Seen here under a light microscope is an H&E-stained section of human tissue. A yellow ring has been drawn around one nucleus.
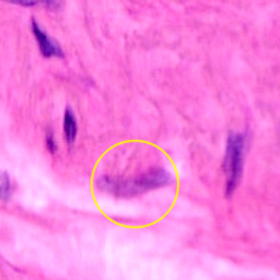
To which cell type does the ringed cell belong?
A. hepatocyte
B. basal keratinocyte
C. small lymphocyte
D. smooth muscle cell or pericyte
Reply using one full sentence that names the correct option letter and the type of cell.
Among the choices, option D is correct, the ringed cell being a smooth muscle cell or pericyte.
